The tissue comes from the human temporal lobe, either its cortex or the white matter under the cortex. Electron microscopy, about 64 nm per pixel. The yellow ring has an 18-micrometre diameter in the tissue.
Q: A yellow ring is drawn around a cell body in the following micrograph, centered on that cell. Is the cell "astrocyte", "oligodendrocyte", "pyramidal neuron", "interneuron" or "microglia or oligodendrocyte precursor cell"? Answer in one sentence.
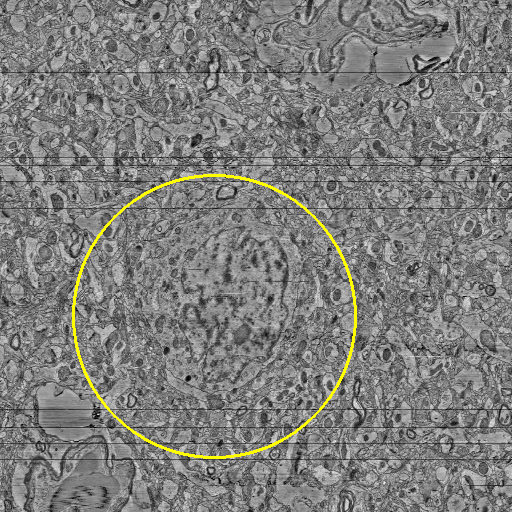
The cell in the center of the ring is an interneuron.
